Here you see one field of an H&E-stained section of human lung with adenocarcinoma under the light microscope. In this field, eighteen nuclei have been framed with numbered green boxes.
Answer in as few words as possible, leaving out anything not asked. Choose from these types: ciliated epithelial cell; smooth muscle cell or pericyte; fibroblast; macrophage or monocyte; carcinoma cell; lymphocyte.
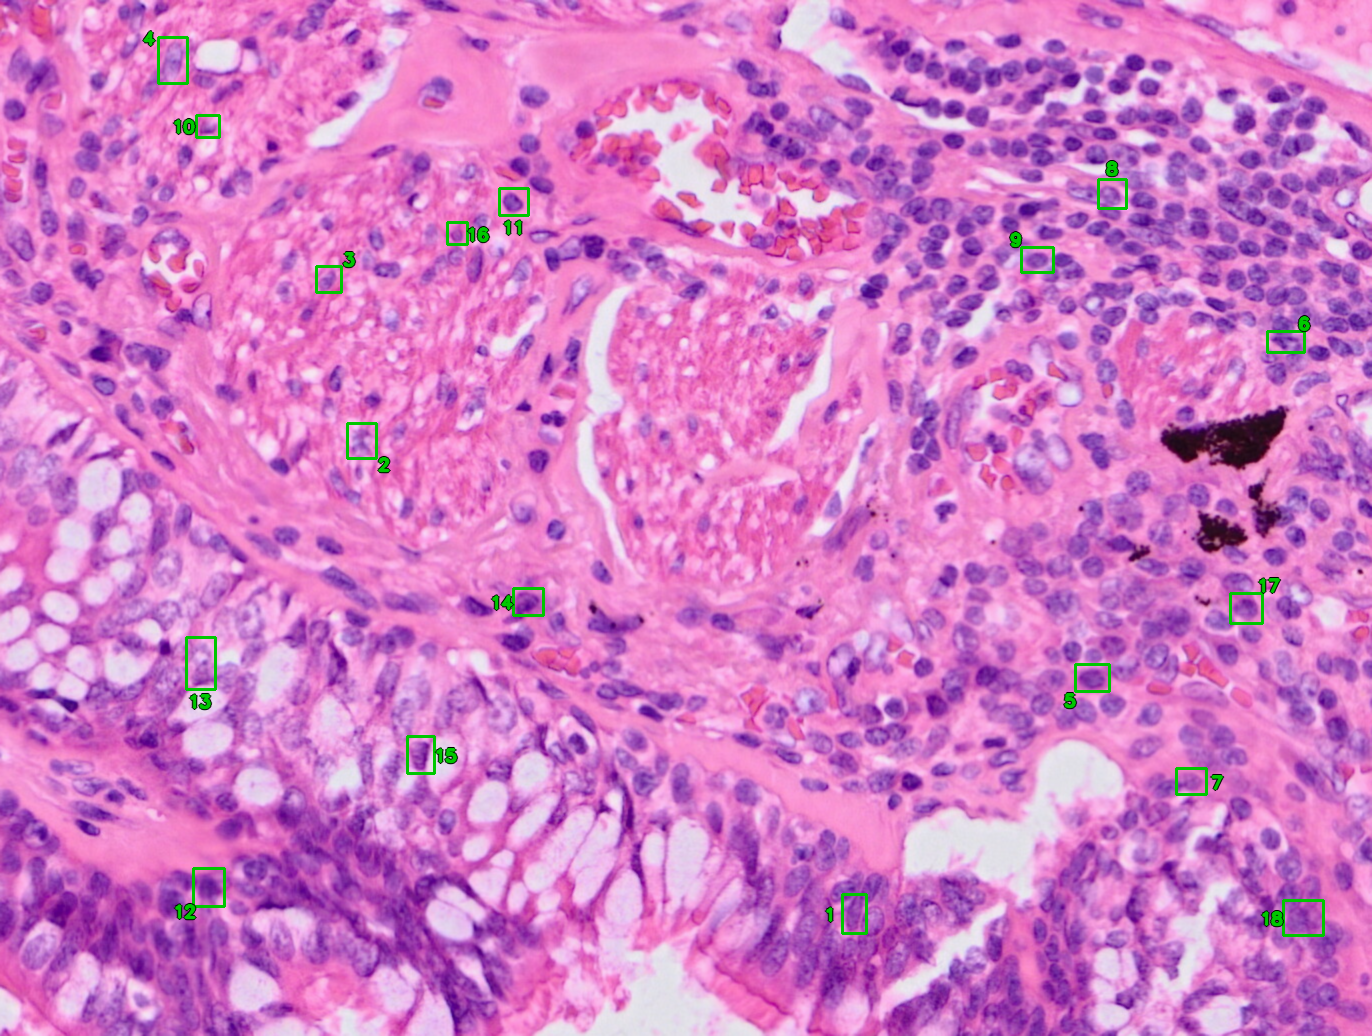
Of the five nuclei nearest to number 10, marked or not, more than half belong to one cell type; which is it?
smooth muscle cell or pericyte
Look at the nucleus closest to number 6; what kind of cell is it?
lymphocyte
